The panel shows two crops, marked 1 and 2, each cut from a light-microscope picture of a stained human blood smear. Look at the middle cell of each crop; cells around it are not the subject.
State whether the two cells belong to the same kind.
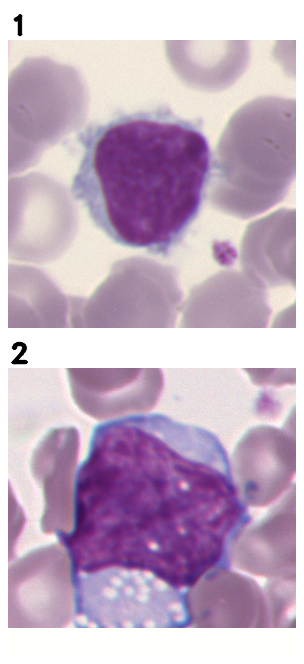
no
